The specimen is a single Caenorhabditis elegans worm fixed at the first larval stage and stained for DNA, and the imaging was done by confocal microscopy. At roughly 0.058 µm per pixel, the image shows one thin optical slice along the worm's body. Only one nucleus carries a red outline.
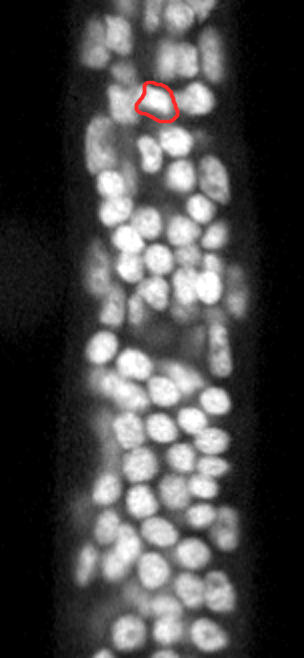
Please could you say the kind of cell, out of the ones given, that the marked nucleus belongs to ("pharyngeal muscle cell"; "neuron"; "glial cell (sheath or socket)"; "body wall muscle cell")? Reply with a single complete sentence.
What is marked is the nucleus of a pharyngeal muscle cell.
